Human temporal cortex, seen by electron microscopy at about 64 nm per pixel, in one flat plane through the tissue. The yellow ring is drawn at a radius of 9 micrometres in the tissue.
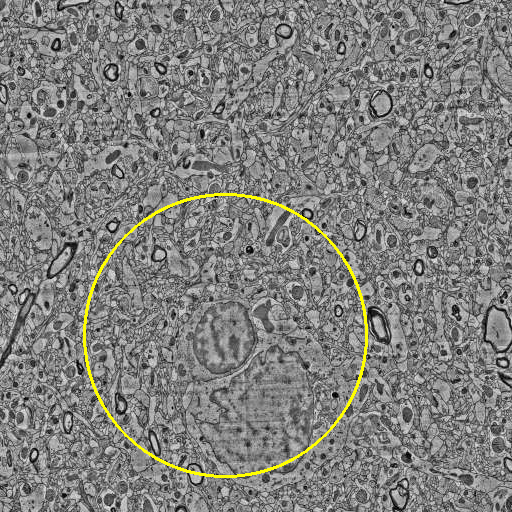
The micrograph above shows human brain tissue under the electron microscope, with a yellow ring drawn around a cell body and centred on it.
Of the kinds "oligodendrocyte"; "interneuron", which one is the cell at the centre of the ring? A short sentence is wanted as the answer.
The one at the centre of the ring is an oligodendrocyte.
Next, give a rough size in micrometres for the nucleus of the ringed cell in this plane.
In this plane, the nucleus is roughly 5 by 4 micrometres.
